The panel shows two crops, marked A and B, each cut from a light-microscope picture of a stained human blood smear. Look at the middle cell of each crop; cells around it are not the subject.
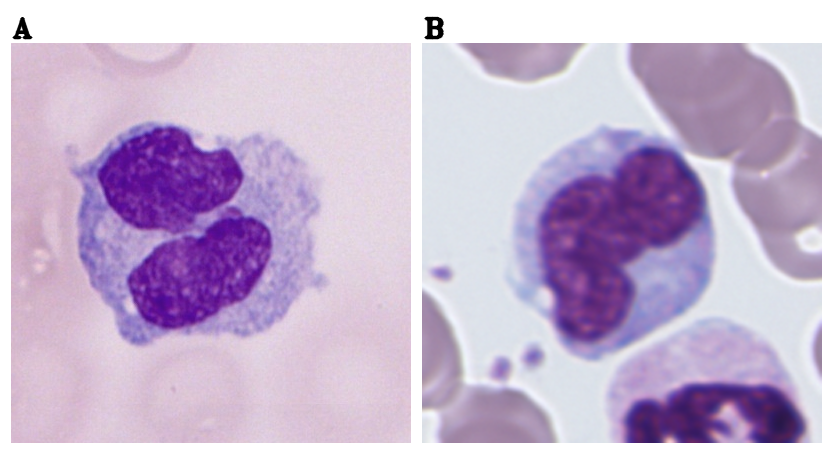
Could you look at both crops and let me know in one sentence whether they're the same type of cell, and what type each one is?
Yes, the central cells, in both crops, are monocytes.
